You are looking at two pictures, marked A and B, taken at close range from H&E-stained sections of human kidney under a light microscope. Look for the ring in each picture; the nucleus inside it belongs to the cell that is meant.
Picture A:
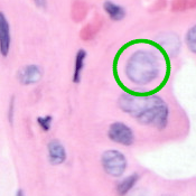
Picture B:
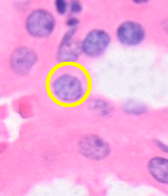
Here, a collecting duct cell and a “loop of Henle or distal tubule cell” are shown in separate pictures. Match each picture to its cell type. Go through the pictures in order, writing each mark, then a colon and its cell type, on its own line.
A: collecting duct cell
B: loop of Henle or distal tubule cell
